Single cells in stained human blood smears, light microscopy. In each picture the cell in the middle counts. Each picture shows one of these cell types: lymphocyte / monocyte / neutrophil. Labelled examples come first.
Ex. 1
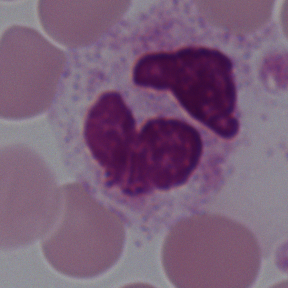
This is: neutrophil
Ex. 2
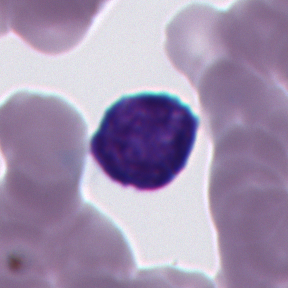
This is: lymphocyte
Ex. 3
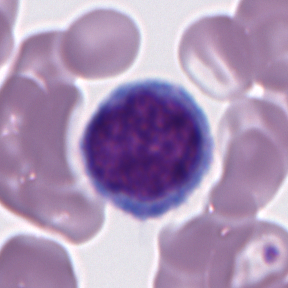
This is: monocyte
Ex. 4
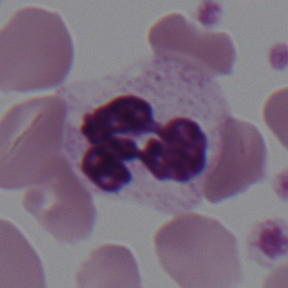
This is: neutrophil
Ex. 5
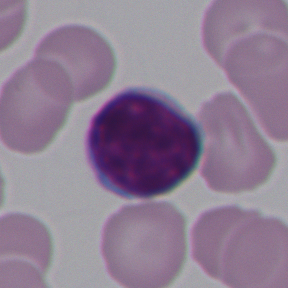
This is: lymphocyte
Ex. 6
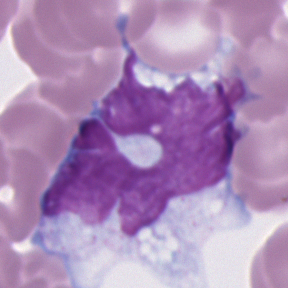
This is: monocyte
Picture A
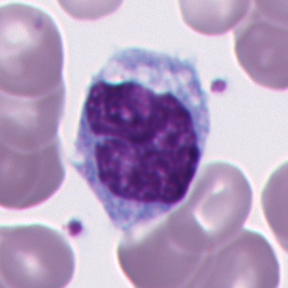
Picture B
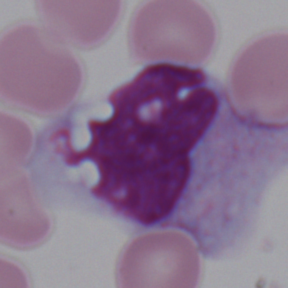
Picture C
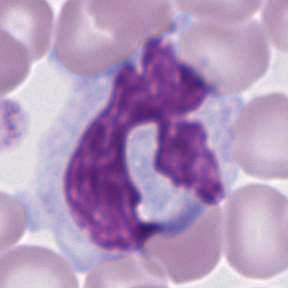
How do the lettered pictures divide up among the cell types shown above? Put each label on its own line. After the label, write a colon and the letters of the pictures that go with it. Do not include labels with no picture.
monocyte: A, B, C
